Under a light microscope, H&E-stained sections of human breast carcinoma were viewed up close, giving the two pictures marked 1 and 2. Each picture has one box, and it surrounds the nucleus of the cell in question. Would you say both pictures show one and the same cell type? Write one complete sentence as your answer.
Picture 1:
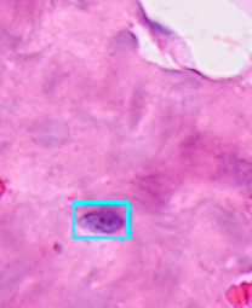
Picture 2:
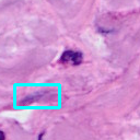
Yes, both are fibroblasts.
